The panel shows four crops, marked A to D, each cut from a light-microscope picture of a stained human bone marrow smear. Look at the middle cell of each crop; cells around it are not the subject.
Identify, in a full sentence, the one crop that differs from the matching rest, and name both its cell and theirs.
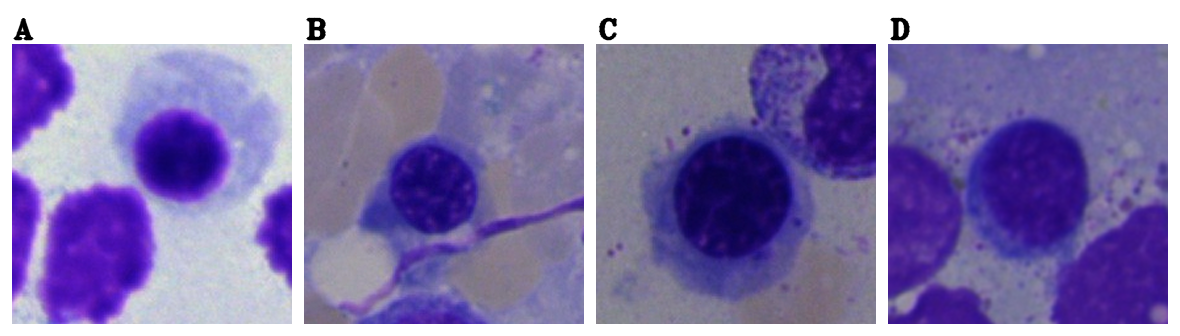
Shown in crop D is a lymphocyte, in contrast to the erythroblasts of all the other crops.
